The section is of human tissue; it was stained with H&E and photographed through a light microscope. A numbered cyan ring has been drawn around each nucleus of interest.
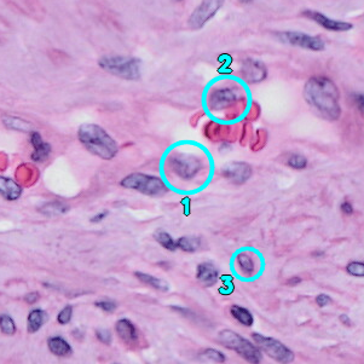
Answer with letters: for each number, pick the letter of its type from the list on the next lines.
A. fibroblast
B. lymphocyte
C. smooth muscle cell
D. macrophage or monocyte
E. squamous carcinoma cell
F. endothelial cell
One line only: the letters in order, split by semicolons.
F; F; C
